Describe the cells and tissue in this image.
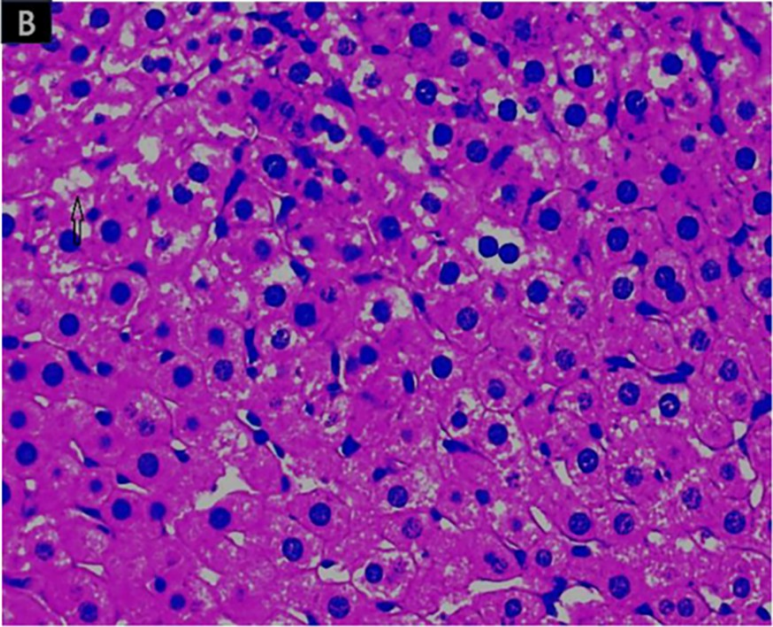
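This is liver tissue with hepatocytes showing round, dark blue nuclei in a pink to violet cytoplasm. Many hepatocytes have cytoplasm broken up by numerous small clear spaces, giving a pale, frothy, washed-out appearance, most marked in the upper left. Cell borders are faint in places, and the cords are less orderly than in intact liver. Elongated dark nuclei lie between the hepatocytes along the narrow sinusoidal spaces.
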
